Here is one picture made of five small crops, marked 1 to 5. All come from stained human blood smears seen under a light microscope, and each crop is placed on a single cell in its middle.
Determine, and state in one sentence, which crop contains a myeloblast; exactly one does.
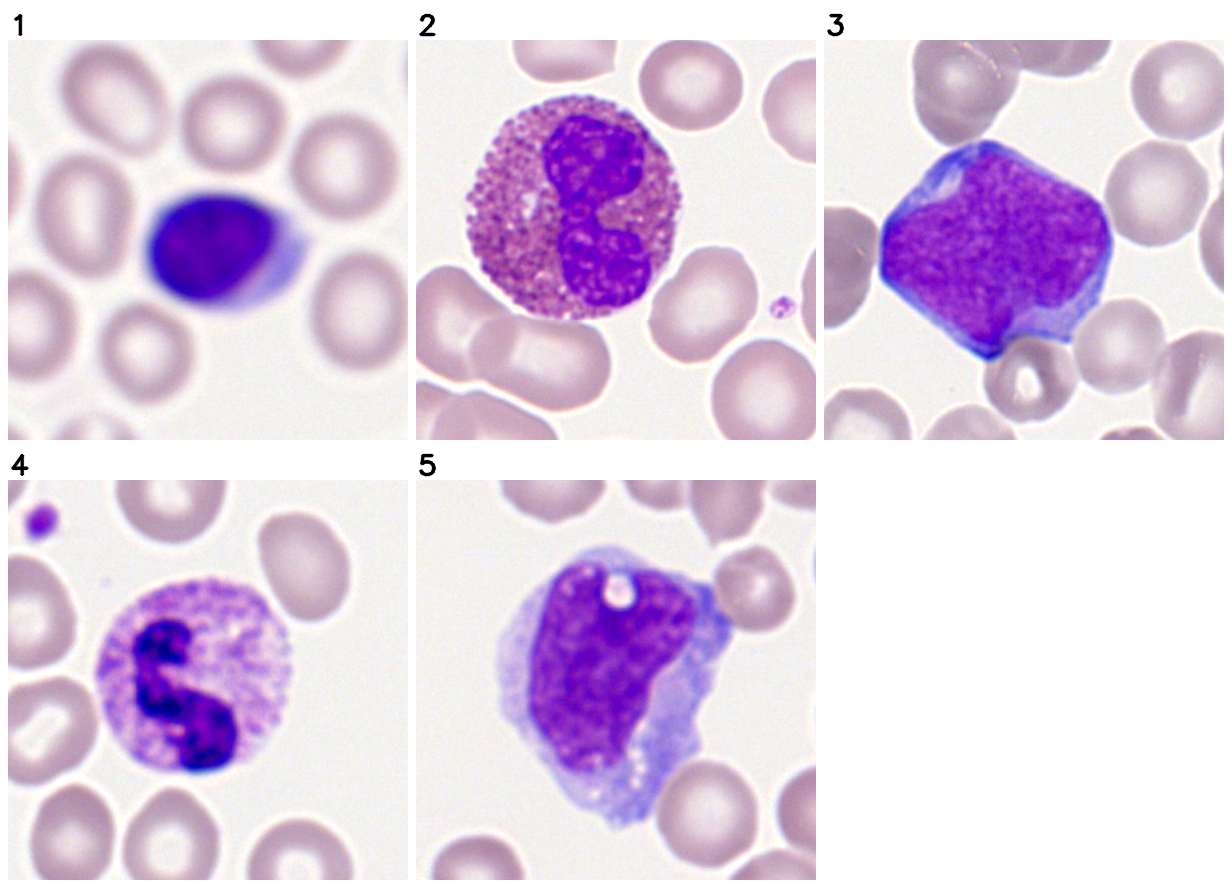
As for which crop shows a myeloblast, it is crop 3.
